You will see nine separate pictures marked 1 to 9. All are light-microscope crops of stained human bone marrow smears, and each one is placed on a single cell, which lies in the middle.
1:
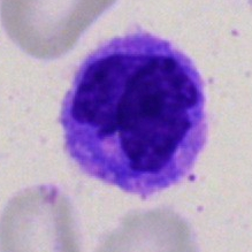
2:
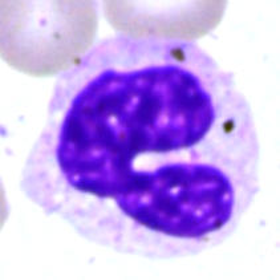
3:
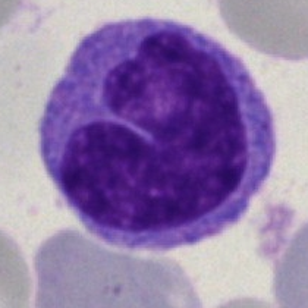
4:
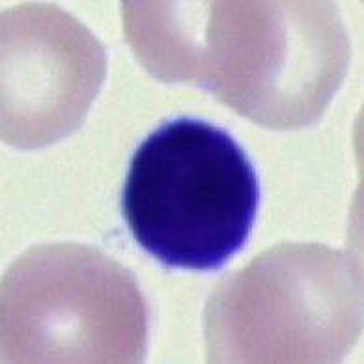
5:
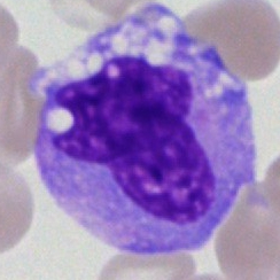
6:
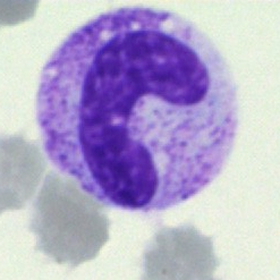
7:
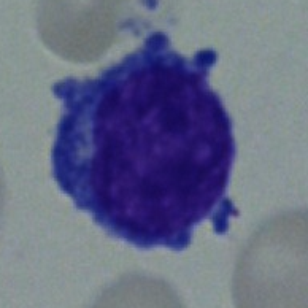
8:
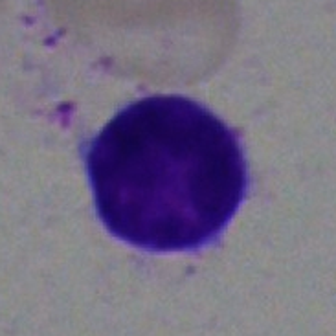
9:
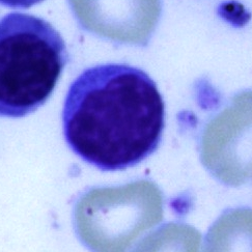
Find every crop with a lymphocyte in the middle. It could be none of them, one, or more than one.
4, 7, 8, 9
